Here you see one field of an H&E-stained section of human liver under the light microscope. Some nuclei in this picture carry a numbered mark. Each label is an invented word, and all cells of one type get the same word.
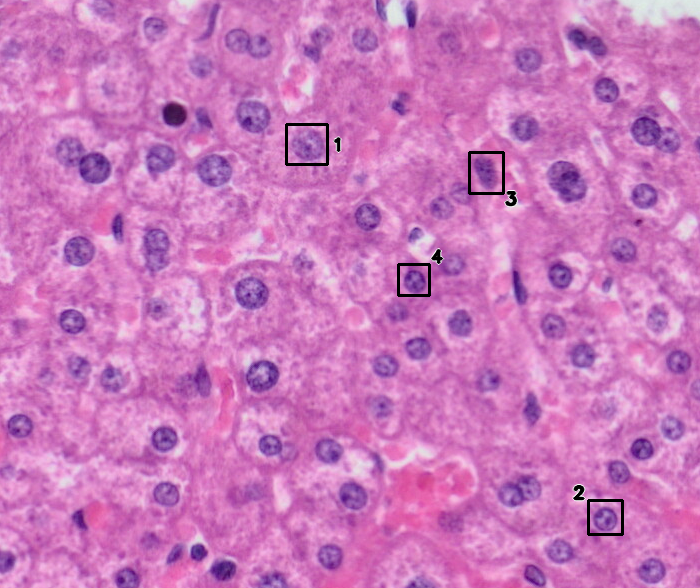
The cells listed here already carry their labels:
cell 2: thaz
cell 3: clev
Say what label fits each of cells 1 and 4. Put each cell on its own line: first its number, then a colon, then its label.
1: thaz
4: thaz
